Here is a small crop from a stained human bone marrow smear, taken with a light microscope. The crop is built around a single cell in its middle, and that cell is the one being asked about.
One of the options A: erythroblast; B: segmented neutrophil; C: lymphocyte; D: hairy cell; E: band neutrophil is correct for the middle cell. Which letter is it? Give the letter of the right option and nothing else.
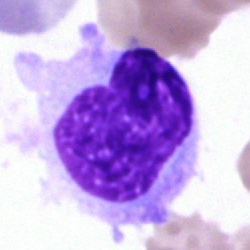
D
